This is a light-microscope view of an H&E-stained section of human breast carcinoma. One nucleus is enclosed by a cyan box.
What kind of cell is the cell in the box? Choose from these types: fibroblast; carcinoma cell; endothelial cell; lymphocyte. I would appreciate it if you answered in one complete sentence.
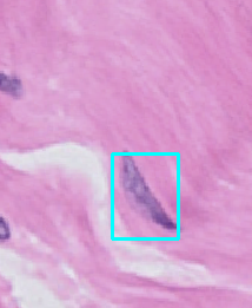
Assigned to a cell type, the cell in the box is a fibroblast.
